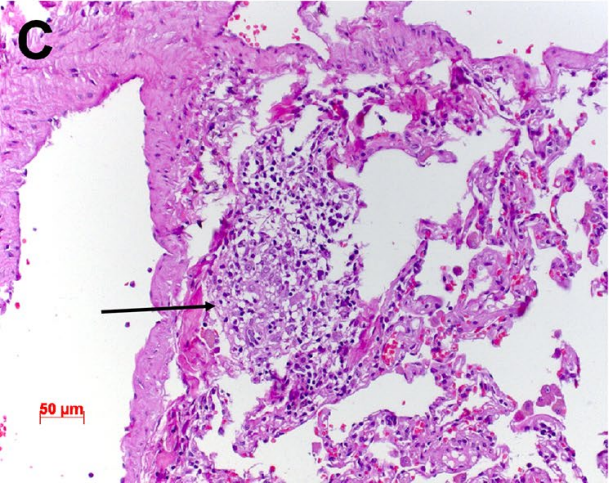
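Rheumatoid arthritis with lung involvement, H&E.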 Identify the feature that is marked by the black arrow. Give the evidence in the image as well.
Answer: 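Loose granuloma. The arrow points to a rounded, loosely arranged cluster of pale-staining cells in lung tissue. The cluster is poorly demarcated with scattered small dark nuclei among paler cells. It lies beside a vessel wall, surrounded by thin alveolar walls.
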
